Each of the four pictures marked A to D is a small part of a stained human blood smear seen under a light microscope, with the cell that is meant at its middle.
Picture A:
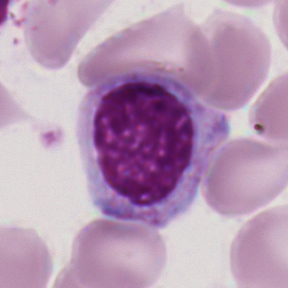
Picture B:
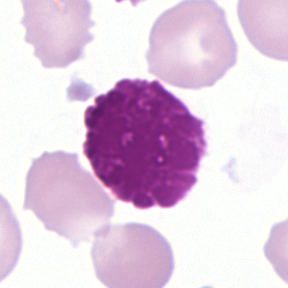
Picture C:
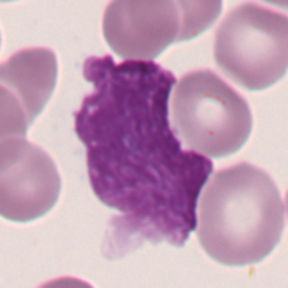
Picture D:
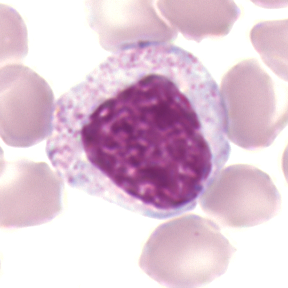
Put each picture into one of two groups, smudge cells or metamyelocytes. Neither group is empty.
A: metamyelocyte
B: smudge cell
C: smudge cell
D: metamyelocyte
